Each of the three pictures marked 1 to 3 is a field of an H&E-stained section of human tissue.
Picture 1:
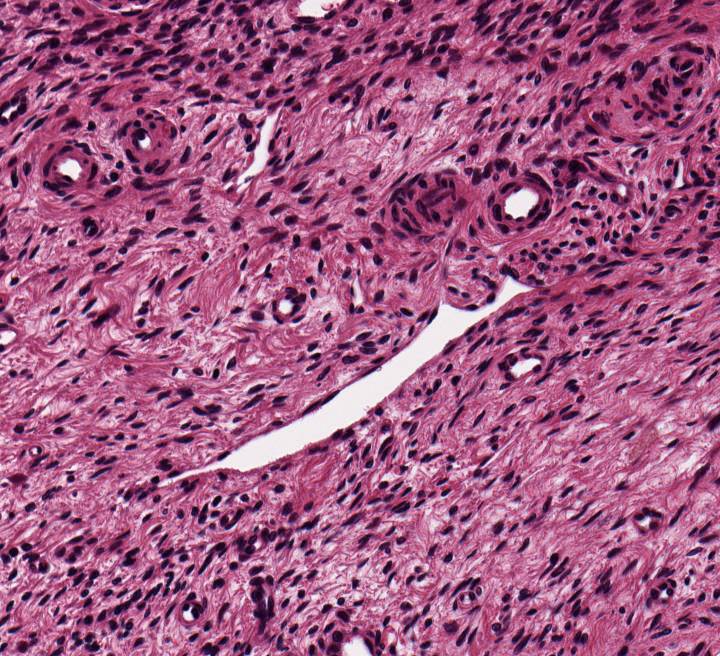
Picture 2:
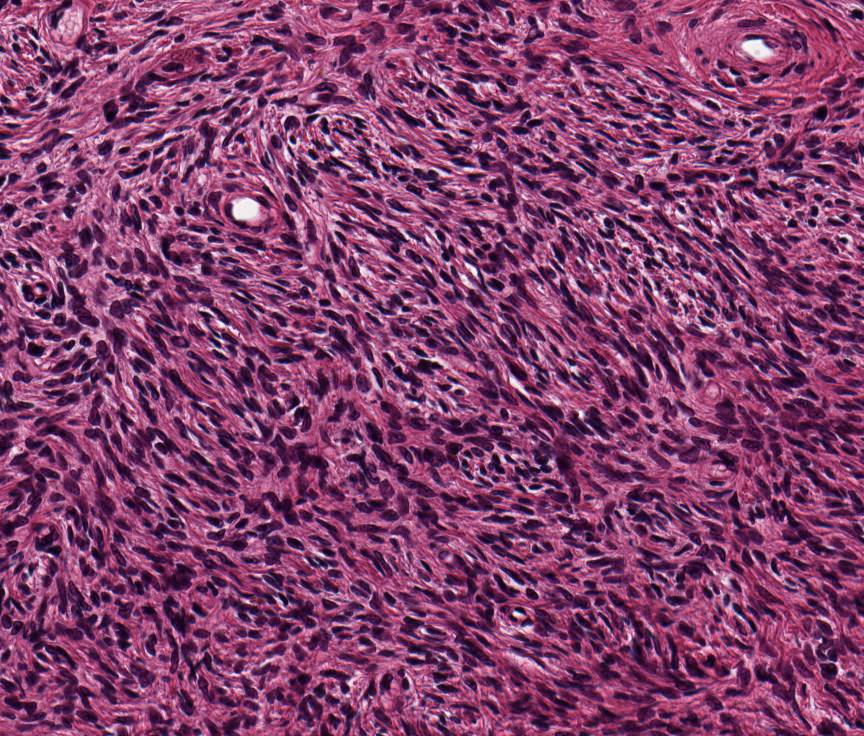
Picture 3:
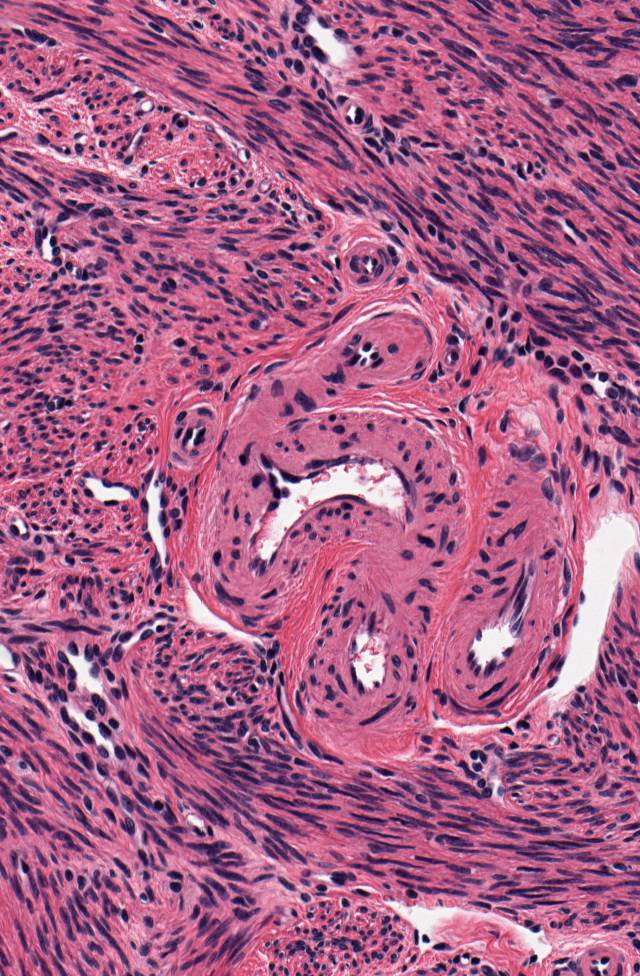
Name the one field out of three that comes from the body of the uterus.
3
